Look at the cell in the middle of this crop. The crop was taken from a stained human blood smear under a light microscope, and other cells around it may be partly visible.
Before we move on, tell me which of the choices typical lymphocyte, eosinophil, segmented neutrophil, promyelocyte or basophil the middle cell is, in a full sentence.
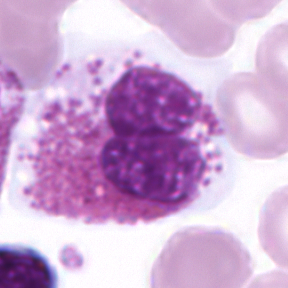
The central cell shown in this smear crop is an eosinophil.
